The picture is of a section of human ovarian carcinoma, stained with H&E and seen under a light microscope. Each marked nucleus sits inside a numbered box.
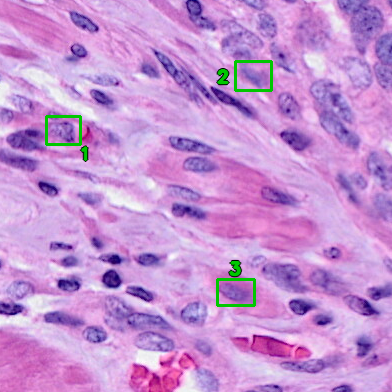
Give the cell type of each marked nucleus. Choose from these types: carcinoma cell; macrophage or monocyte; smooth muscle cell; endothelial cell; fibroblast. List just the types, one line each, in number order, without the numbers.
endothelial cell
fibroblast
smooth muscle cell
